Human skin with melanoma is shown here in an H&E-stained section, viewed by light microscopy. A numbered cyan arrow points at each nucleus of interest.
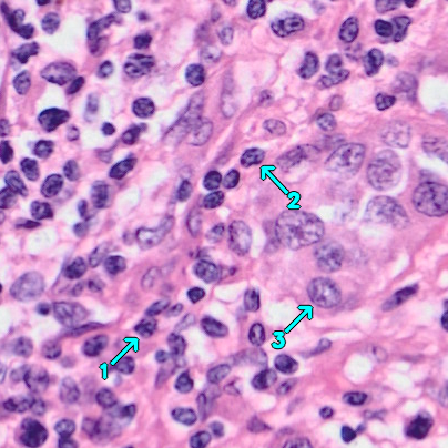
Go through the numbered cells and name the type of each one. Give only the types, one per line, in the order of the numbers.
lymphocyte
lymphocyte
melanoma cell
